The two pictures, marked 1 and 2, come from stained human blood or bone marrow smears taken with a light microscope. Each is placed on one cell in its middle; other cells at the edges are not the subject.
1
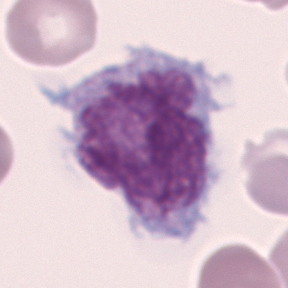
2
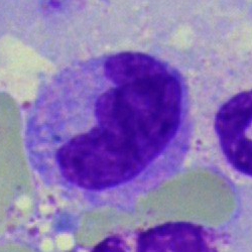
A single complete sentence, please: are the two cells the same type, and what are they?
Yes, that holds, both crops show monocytes.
